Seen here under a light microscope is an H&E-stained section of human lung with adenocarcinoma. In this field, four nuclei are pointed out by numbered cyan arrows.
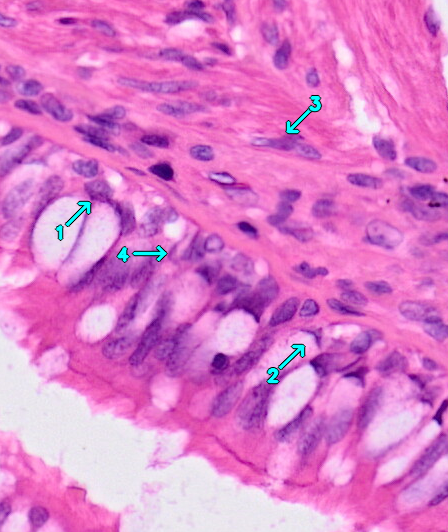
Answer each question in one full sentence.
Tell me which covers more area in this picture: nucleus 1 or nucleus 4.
Number 1 is larger; its area is about 2.5 times that of number 4.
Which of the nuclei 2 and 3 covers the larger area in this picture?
The larger nucleus is 3, at roughly 2.5 times the area of 2.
